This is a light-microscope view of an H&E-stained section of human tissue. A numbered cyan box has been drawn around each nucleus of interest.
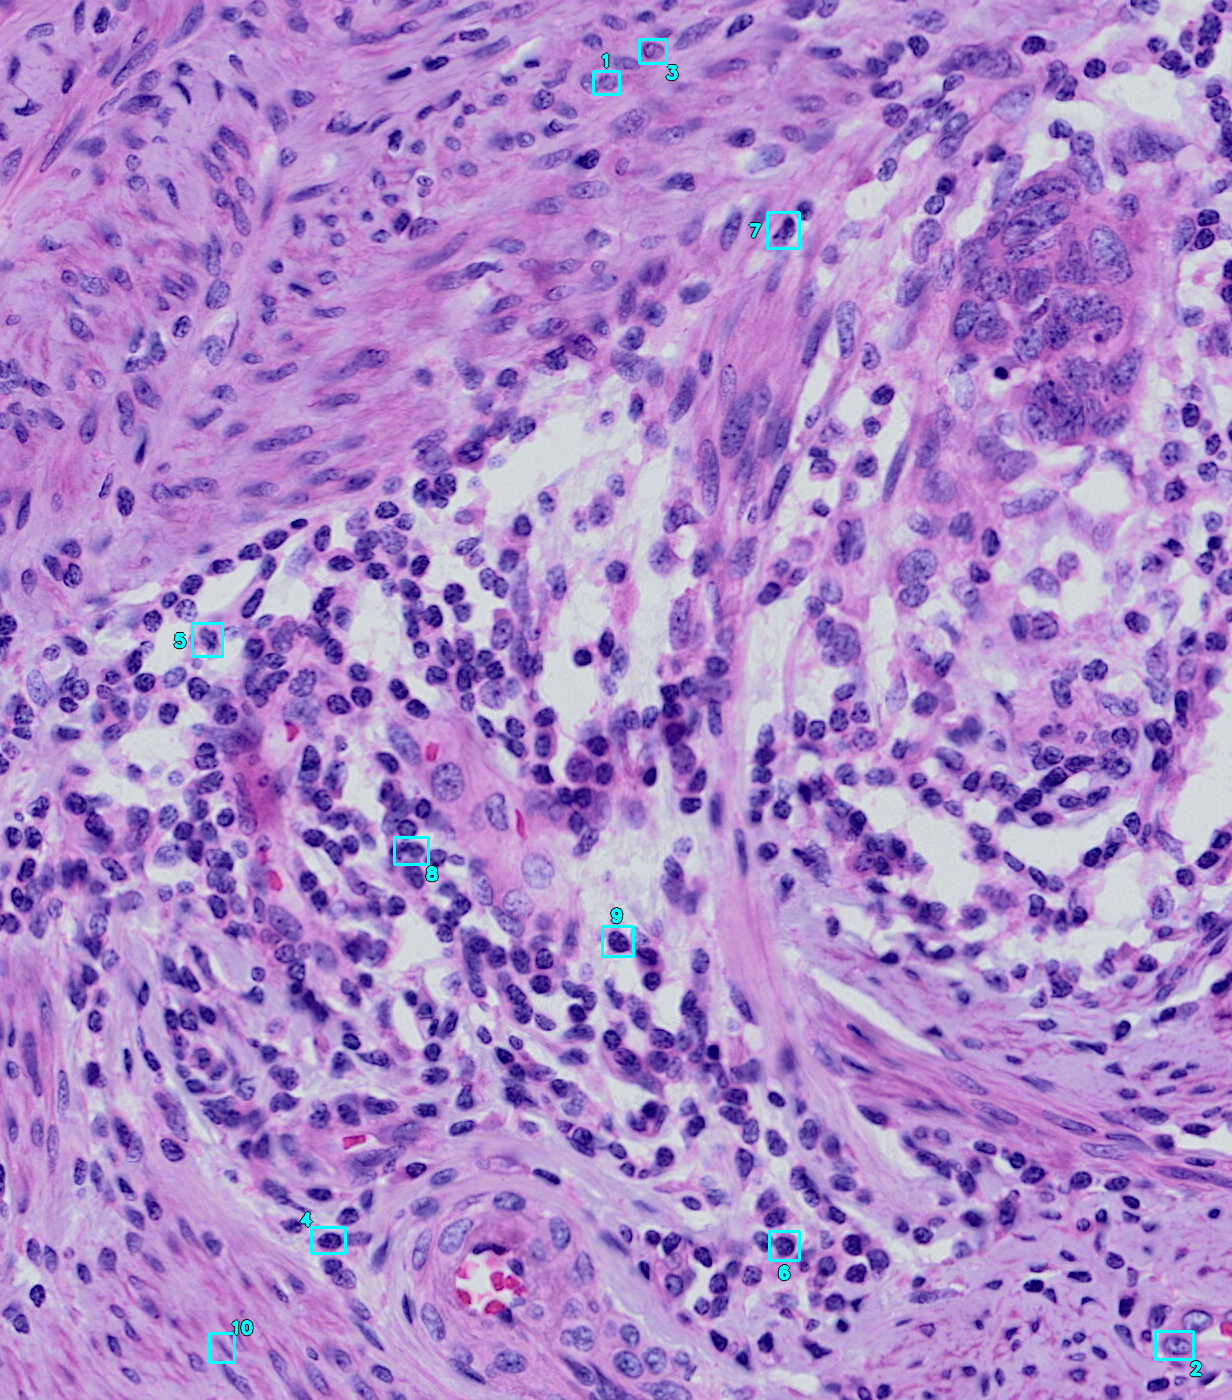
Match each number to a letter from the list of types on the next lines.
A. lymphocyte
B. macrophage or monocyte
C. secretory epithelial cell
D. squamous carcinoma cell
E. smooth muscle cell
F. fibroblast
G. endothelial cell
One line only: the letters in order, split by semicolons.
E; G; E; A; A; A; A; A; A; E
